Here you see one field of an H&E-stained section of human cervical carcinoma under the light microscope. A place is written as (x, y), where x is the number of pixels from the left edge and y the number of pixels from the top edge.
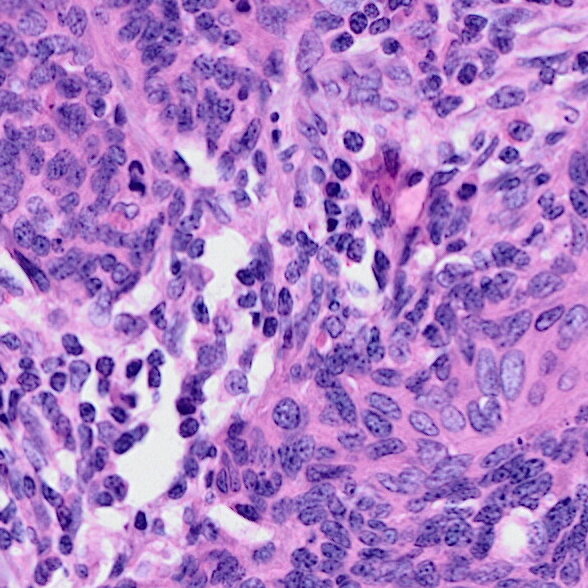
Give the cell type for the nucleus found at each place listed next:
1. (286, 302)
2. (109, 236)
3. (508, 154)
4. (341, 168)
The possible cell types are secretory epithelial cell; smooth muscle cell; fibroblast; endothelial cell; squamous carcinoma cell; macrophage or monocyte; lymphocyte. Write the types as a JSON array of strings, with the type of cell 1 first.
["lymphocyte", "squamous carcinoma cell", "lymphocyte", "lymphocyte"]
